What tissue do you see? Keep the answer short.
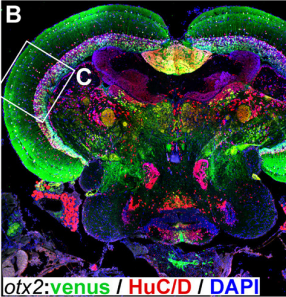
midbrain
